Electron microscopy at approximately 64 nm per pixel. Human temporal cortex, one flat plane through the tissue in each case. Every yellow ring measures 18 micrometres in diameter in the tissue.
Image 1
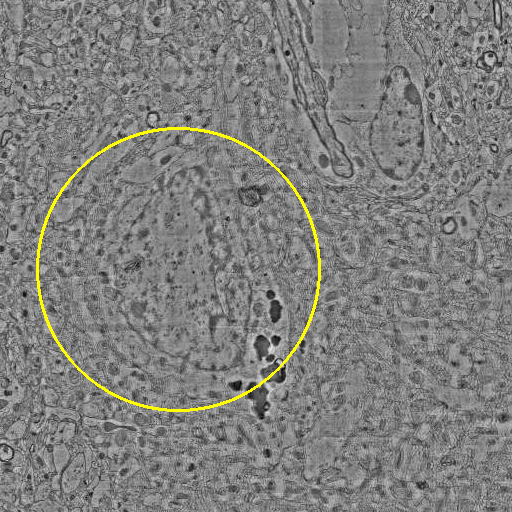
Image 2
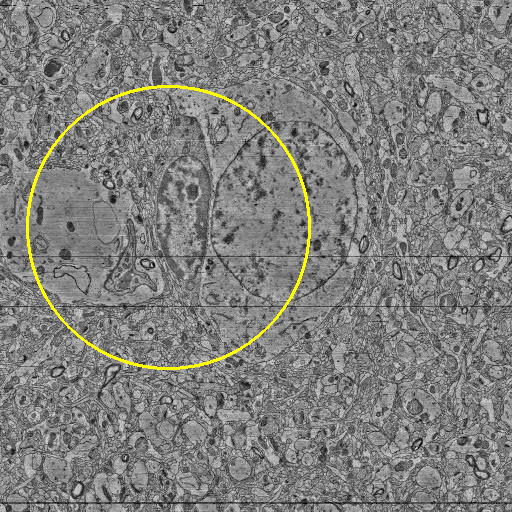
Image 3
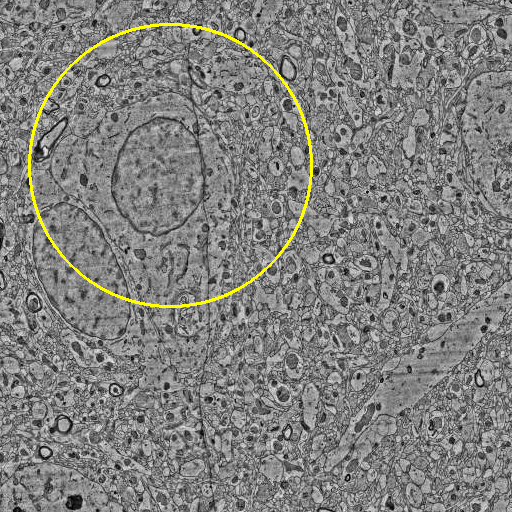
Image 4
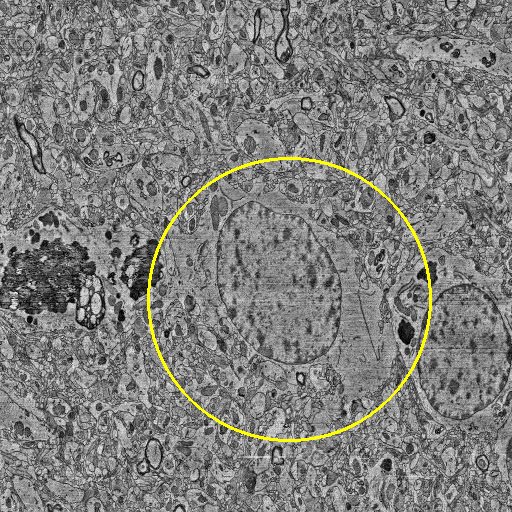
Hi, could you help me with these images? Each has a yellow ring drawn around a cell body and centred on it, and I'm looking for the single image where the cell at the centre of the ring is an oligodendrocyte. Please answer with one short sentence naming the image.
It is Image 2 that has it at the centre of its ring.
